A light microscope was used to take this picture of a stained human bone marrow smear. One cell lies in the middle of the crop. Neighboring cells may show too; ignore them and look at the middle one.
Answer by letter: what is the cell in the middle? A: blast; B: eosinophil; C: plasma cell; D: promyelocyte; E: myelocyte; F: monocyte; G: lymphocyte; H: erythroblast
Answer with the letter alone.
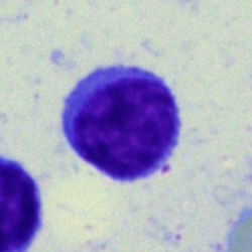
G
